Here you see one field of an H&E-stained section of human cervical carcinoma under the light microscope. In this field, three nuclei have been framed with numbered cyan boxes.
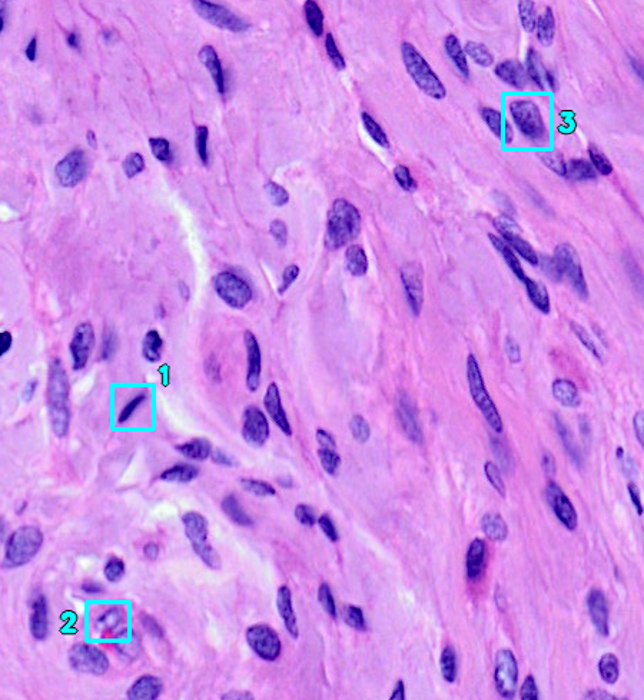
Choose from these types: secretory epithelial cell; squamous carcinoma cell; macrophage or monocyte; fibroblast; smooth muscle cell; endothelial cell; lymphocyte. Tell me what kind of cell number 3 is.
fibroblast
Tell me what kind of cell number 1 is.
fibroblast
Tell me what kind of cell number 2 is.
endothelial cell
